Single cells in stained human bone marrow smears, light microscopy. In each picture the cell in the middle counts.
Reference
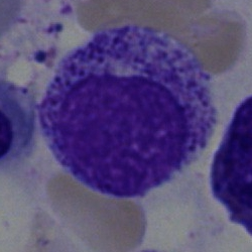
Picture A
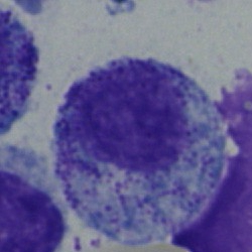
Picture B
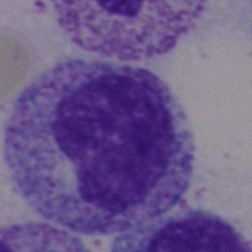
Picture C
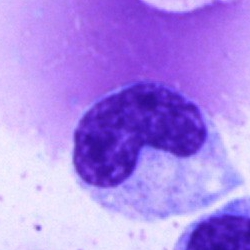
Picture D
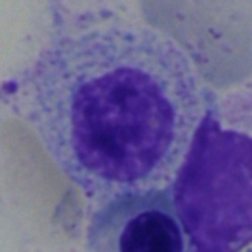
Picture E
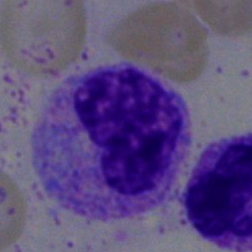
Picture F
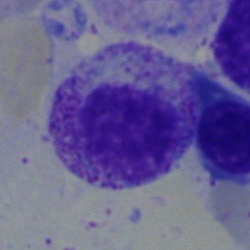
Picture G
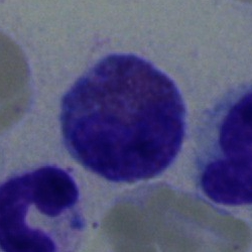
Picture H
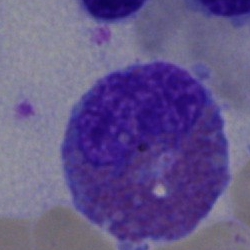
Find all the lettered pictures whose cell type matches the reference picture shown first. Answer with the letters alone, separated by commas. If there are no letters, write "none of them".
A, B, D, F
